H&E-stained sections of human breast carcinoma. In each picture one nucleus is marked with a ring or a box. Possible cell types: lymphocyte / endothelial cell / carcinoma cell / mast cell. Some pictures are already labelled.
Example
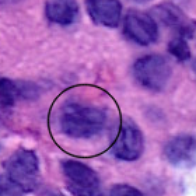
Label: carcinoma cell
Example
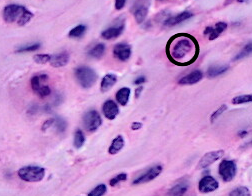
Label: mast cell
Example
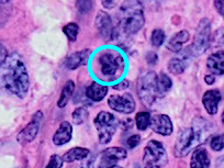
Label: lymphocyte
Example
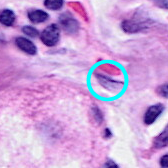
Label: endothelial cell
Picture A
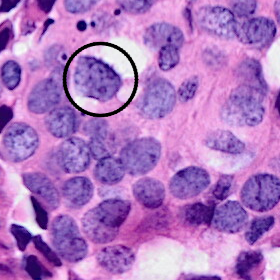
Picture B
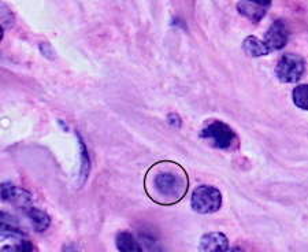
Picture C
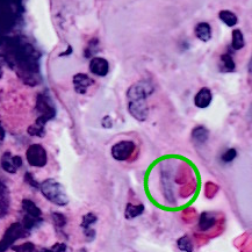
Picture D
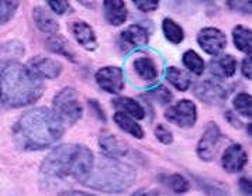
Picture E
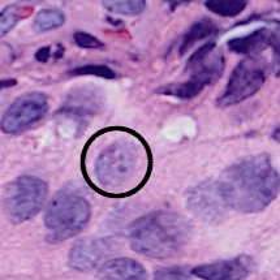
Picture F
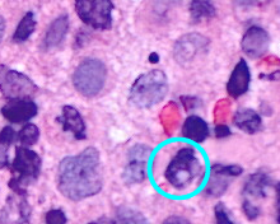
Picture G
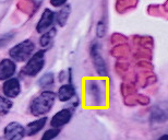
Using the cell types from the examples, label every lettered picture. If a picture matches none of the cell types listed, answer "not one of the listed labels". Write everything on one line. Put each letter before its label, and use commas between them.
A carcinoma cell, B mast cell, C endothelial cell, D lymphocyte, E carcinoma cell, F carcinoma cell, G endothelial cell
